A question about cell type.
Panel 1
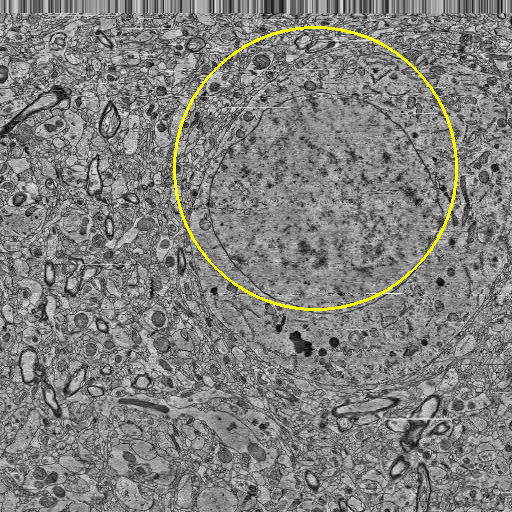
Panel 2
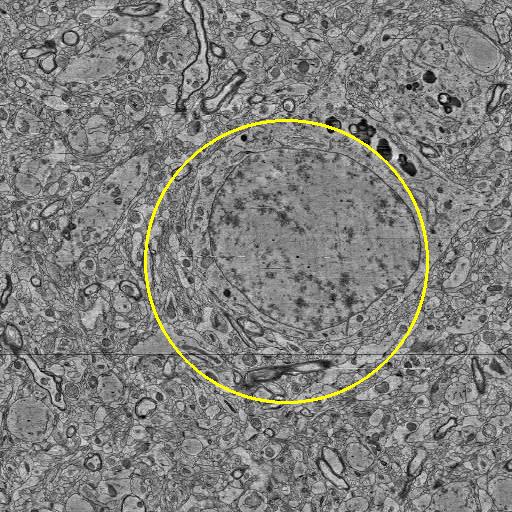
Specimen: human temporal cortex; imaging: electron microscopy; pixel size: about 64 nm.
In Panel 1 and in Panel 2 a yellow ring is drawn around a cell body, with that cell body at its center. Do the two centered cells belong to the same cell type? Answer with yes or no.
yes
